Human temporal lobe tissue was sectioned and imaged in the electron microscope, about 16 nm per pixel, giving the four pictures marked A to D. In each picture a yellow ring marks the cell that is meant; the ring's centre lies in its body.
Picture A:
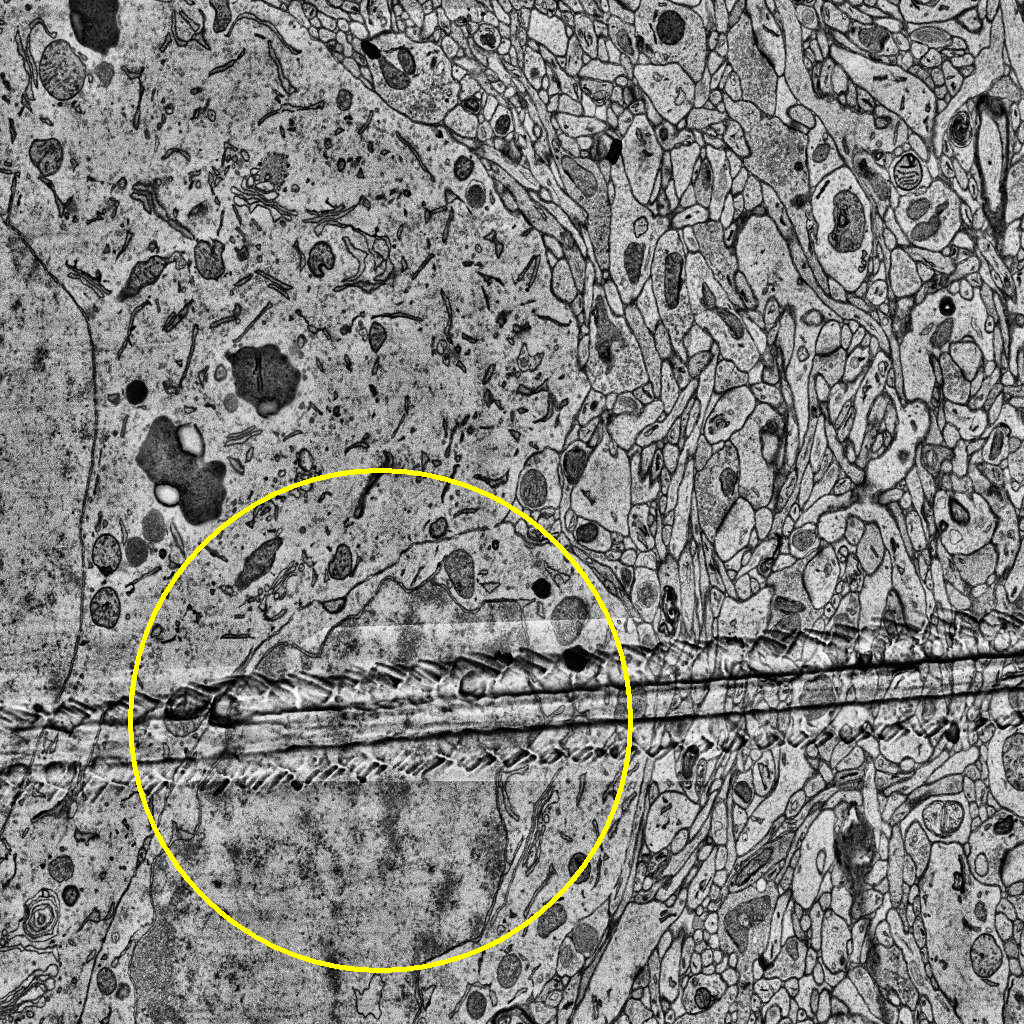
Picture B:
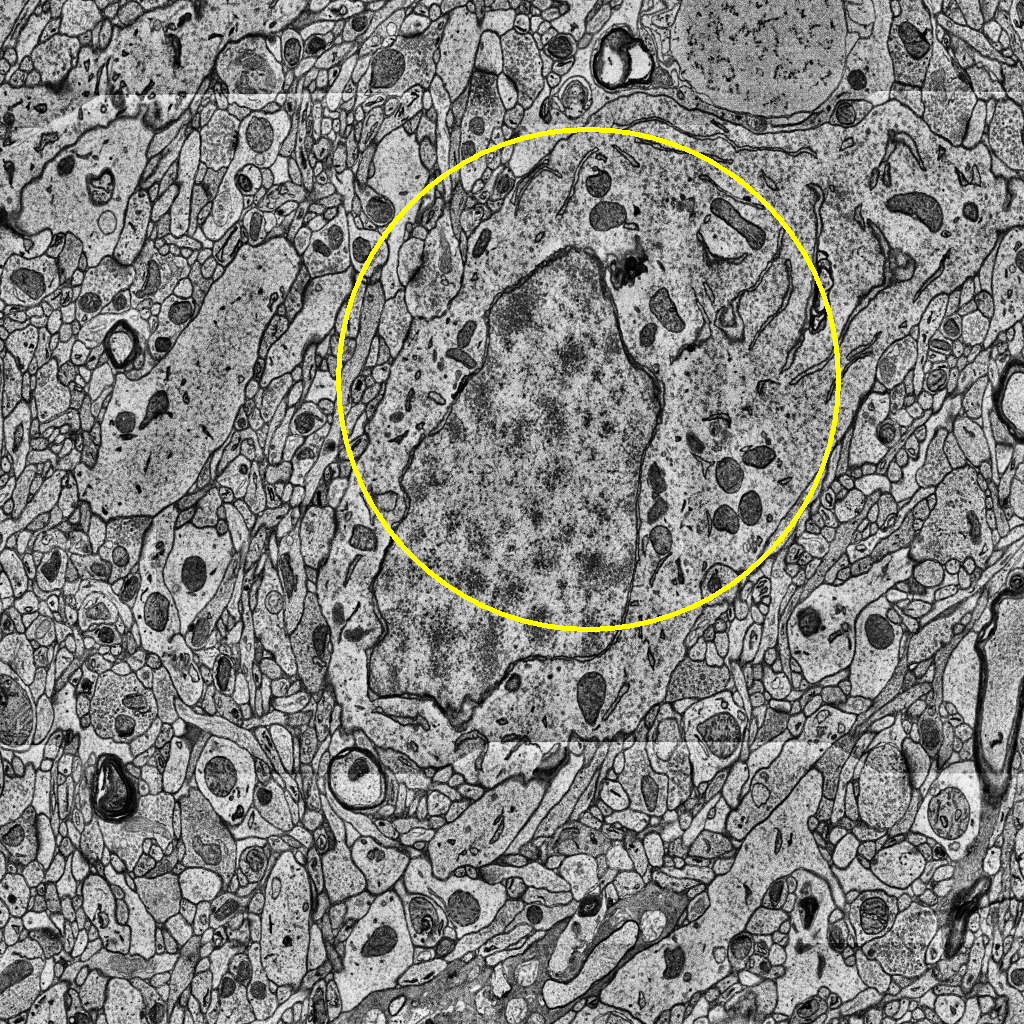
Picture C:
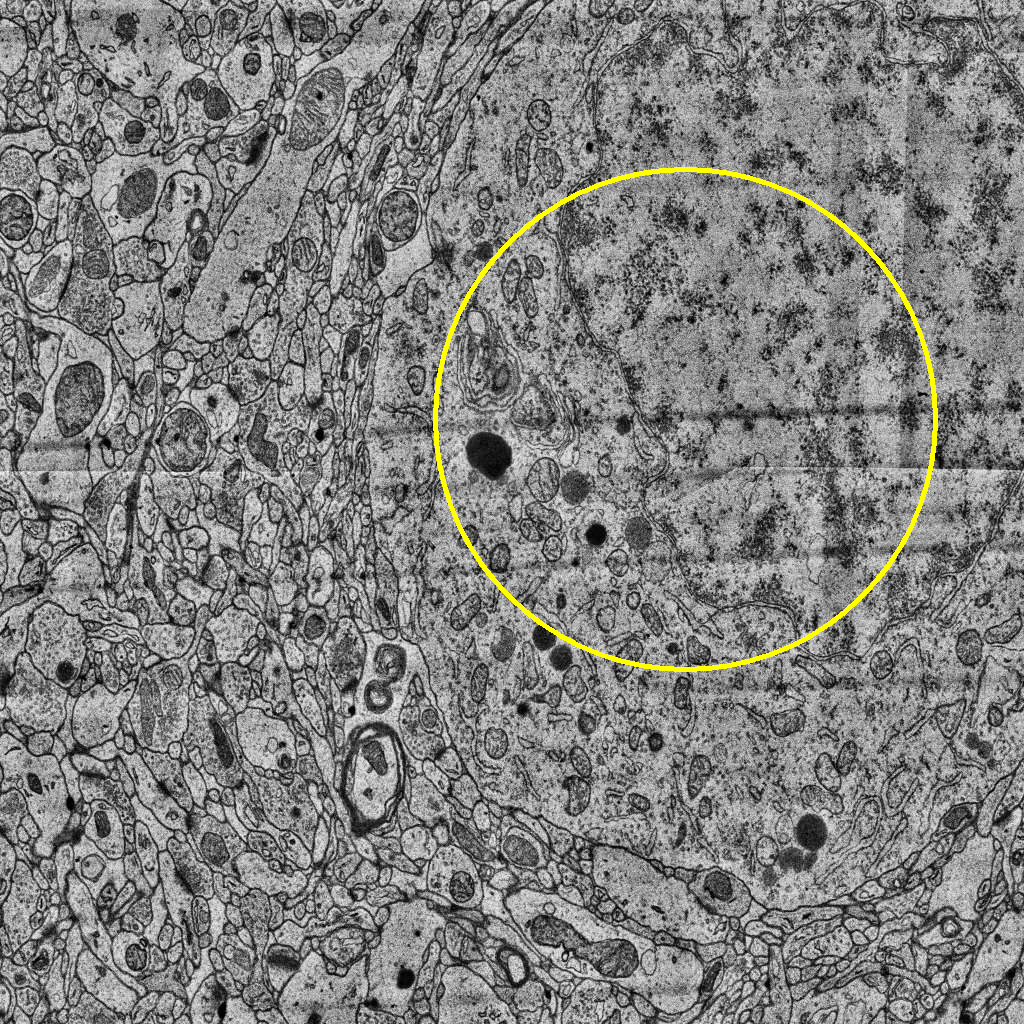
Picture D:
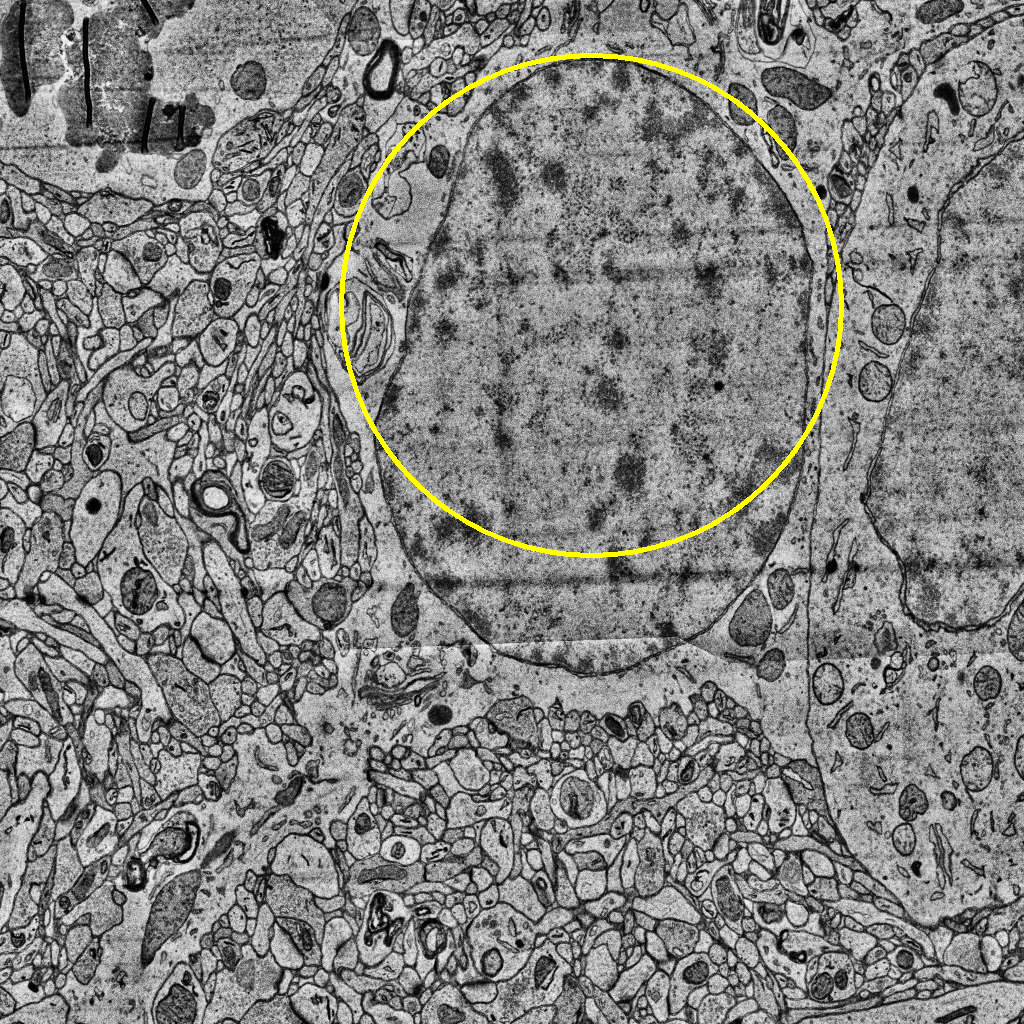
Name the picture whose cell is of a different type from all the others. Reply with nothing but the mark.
D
